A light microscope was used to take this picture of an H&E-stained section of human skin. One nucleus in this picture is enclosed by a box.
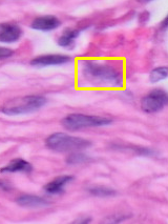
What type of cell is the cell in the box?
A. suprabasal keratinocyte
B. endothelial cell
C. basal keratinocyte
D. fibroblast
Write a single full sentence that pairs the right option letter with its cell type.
Option B is the one that fits, as the cell in the box is an endothelial cell.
